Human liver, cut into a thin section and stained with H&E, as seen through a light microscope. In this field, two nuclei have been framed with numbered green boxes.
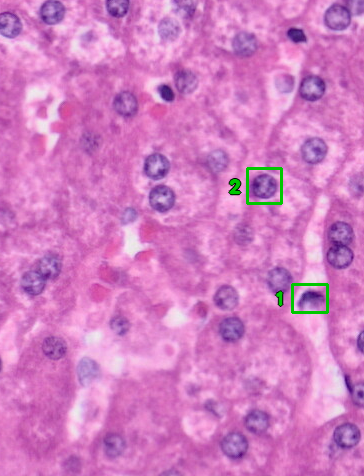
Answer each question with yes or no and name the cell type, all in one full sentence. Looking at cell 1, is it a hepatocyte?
No, number 1 does not mark a hepatocyte; it marks an endothelial cell.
